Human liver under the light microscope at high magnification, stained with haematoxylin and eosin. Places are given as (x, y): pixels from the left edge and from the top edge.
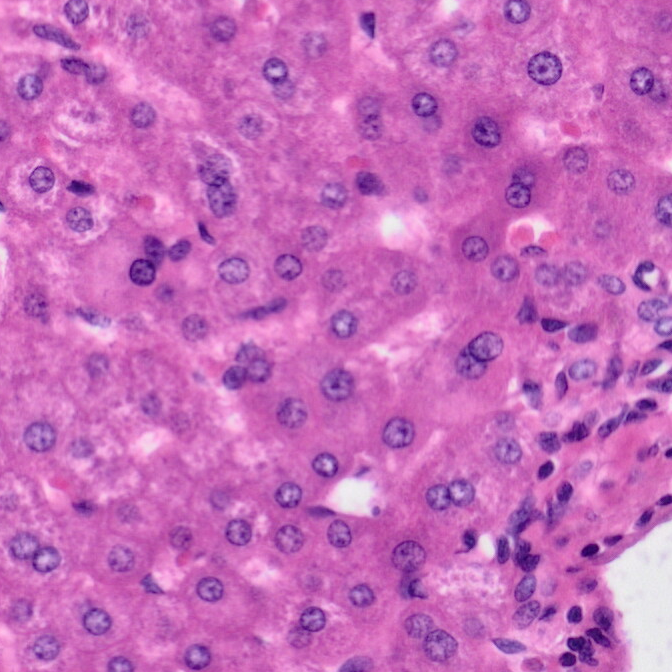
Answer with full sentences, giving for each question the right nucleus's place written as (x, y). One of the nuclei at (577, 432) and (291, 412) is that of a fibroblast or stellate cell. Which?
The nucleus positioned at (577, 432) is the one that belongs to a fibroblast or stellate cell.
